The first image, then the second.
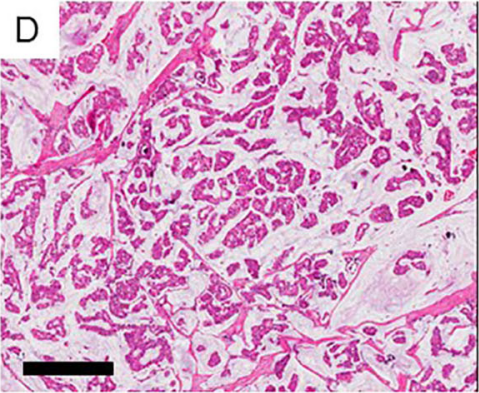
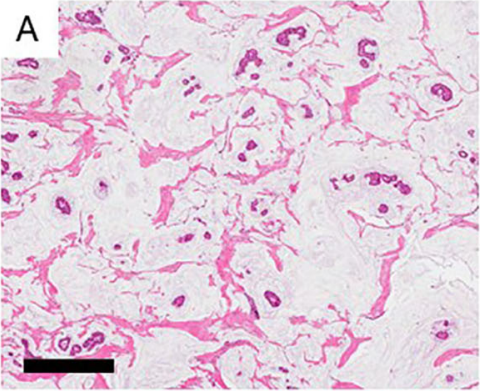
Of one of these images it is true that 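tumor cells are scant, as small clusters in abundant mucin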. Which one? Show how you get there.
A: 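First image: large, crowded nests and cords of tumor cells fill much of the field. Second image: only small, sparse cell clusters float in wide pools of pale mucin. On this evidence: the second image.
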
